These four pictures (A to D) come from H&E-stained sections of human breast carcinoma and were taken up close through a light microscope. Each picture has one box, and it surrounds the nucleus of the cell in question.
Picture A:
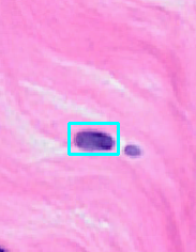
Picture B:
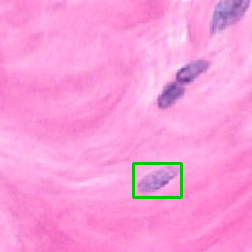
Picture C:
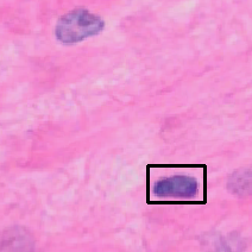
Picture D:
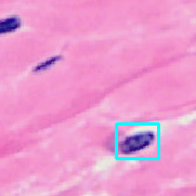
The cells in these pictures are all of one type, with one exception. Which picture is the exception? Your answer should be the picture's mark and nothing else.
B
